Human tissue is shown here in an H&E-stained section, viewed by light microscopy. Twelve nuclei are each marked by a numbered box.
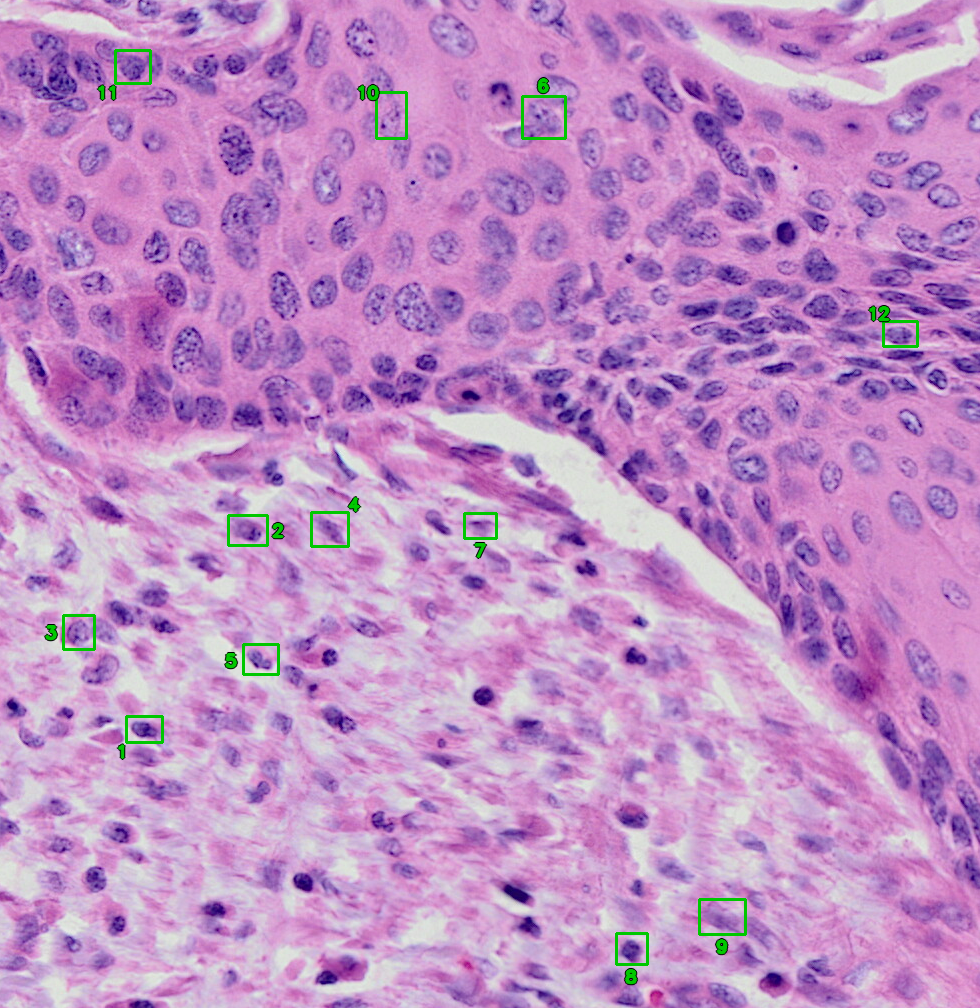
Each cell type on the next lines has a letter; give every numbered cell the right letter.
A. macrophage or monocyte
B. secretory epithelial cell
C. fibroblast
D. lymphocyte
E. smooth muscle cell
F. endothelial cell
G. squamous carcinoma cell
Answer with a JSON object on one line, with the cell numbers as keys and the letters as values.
{"1": "D", "2": "A", "3": "A", "4": "C", "5": "D", "6": "G", "7": "C", "8": "D", "9": "C", "10": "G", "11": "G", "12": "G"}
